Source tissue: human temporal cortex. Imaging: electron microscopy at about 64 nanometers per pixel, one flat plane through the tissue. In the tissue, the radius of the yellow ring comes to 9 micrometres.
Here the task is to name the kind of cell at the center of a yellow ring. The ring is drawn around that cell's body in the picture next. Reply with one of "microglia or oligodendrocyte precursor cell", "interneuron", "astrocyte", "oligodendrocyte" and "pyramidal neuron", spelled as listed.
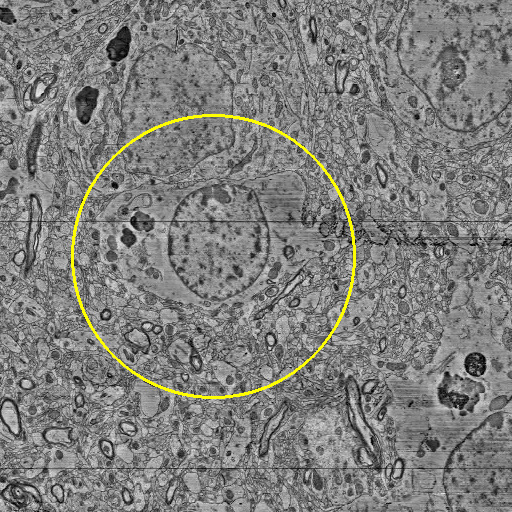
astrocyte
